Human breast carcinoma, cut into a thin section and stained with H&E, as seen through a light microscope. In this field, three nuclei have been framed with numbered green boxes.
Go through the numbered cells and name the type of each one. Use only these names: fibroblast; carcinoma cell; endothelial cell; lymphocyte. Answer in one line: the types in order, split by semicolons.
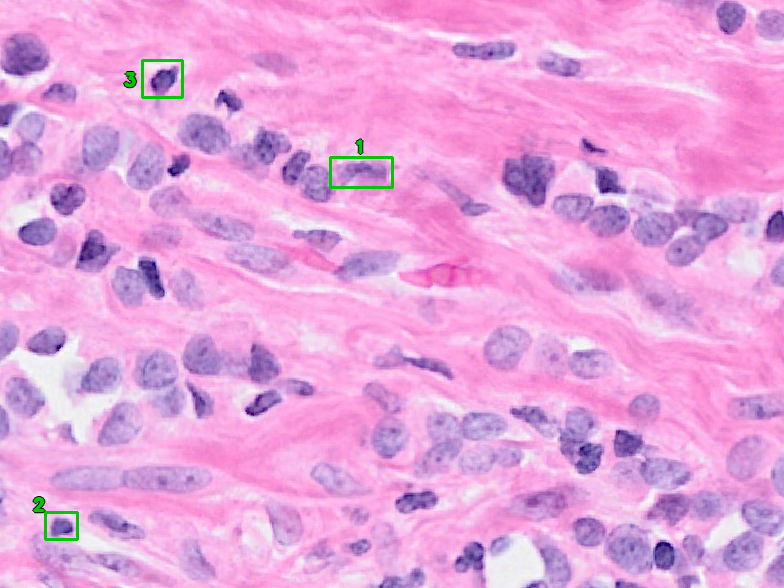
fibroblast; lymphocyte; lymphocyte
